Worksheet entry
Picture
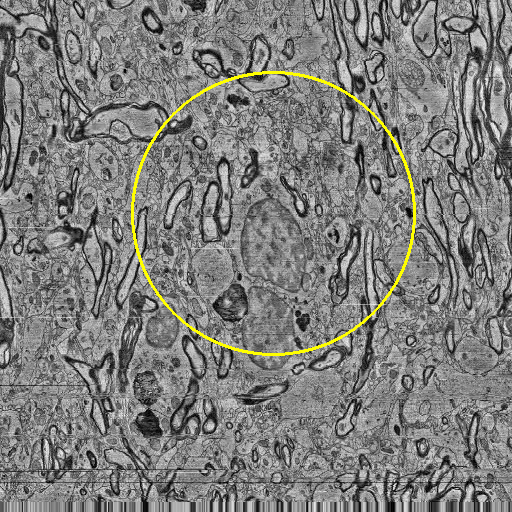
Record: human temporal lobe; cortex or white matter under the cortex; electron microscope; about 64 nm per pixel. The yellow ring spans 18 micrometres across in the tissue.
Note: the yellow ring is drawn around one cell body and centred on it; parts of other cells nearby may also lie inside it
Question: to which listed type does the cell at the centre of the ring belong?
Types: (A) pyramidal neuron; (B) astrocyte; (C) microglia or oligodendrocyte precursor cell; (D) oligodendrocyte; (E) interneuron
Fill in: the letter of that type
D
